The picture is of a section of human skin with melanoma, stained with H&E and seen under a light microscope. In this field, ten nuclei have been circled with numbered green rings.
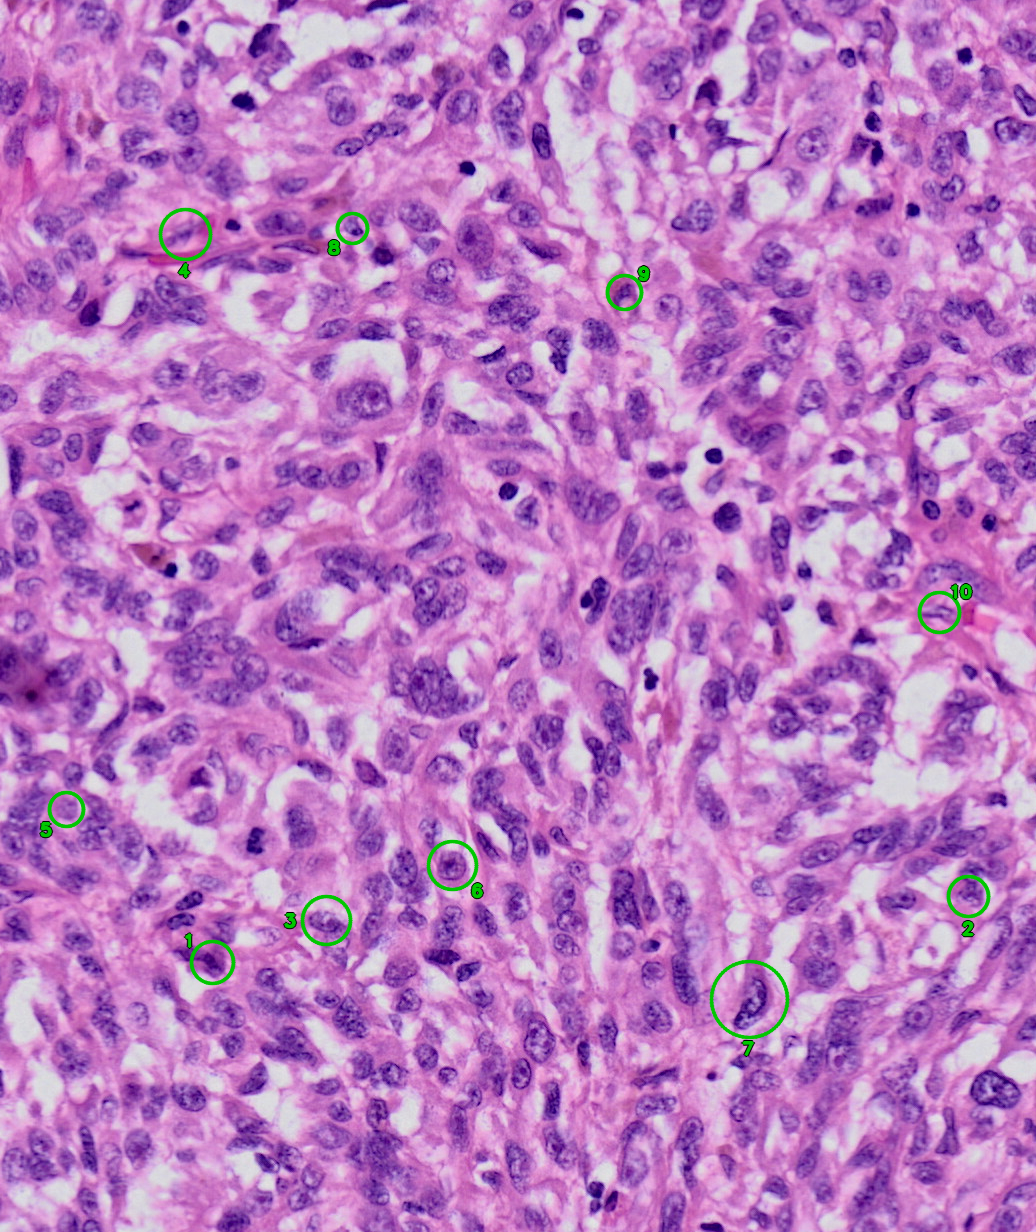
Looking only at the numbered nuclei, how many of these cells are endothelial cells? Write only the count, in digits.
2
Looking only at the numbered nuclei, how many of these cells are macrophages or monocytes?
1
